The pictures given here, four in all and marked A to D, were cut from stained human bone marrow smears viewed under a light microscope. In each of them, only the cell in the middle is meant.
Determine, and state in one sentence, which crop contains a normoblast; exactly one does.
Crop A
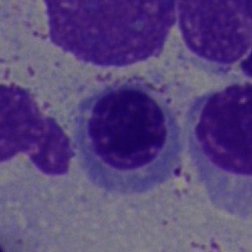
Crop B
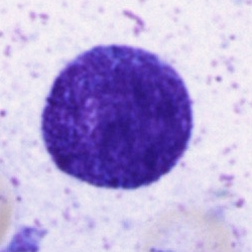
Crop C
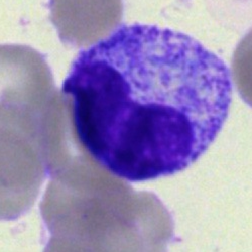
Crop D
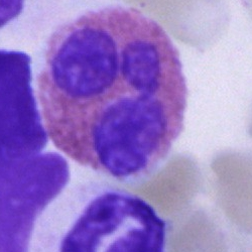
The one crop in the set with a normoblast is crop A.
